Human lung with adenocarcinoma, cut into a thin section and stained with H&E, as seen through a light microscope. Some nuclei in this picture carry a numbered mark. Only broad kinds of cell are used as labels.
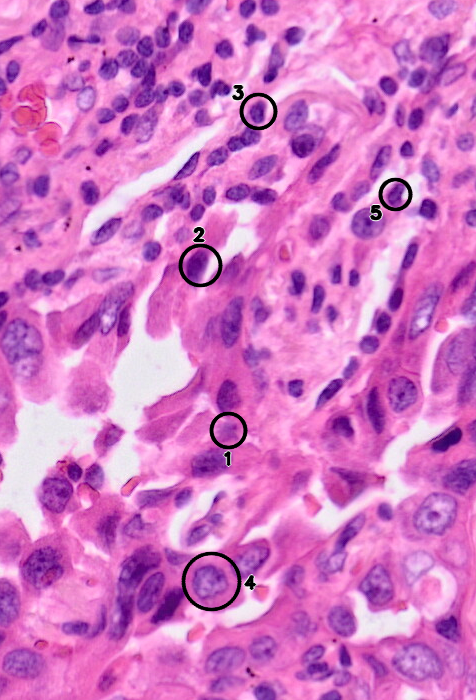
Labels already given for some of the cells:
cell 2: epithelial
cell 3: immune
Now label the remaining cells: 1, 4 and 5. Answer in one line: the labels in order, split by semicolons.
epithelial; epithelial; immune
